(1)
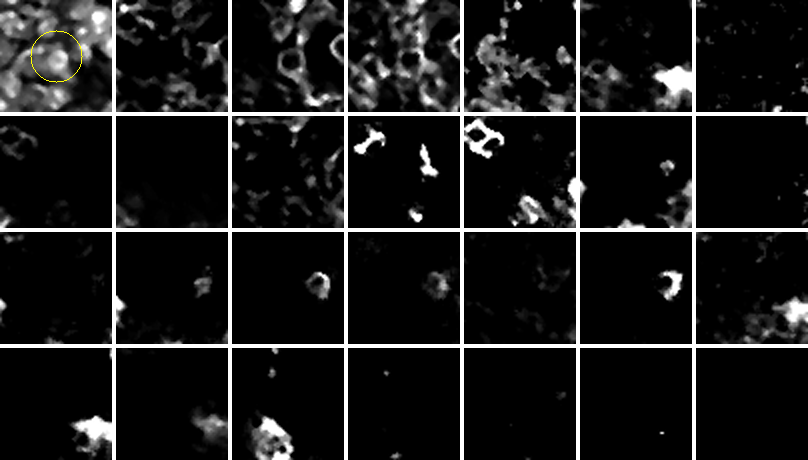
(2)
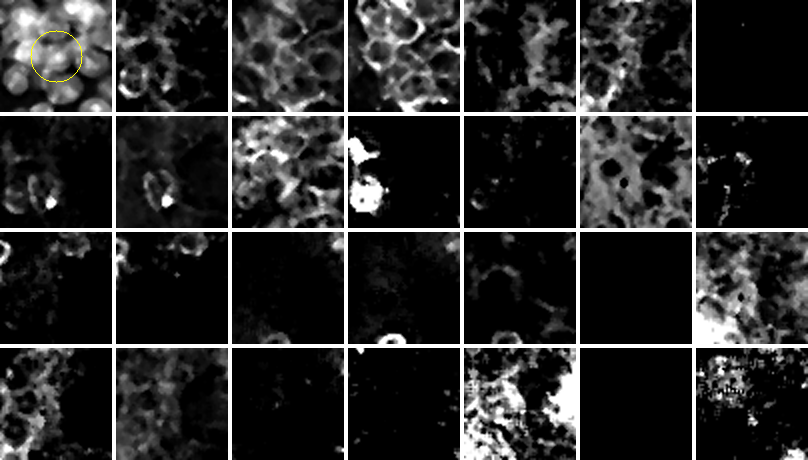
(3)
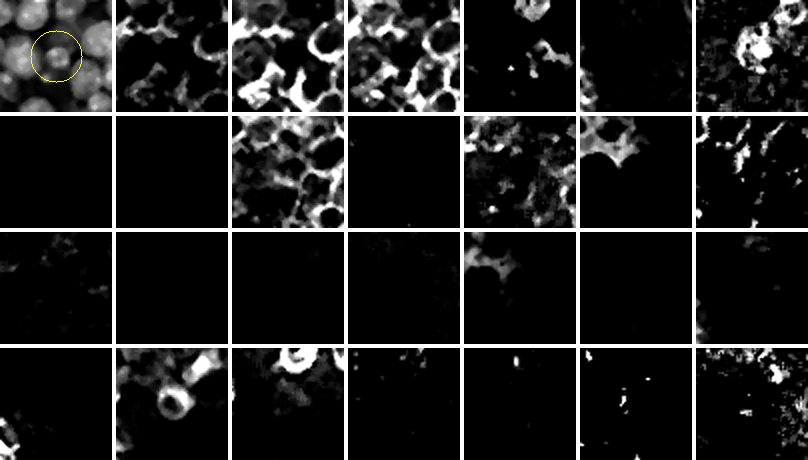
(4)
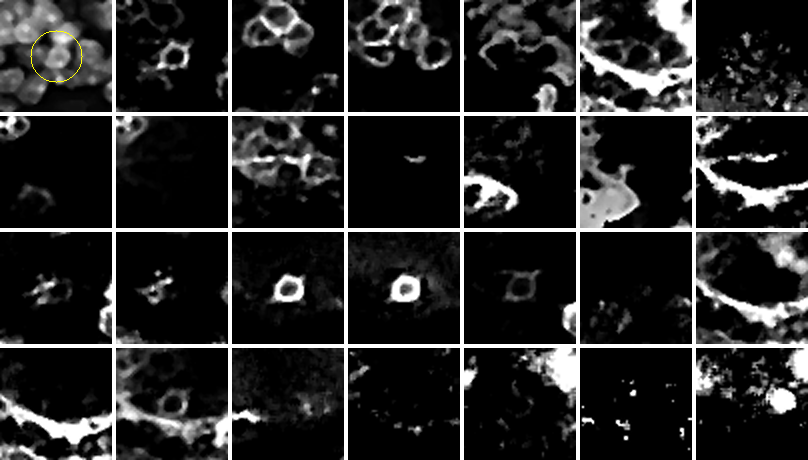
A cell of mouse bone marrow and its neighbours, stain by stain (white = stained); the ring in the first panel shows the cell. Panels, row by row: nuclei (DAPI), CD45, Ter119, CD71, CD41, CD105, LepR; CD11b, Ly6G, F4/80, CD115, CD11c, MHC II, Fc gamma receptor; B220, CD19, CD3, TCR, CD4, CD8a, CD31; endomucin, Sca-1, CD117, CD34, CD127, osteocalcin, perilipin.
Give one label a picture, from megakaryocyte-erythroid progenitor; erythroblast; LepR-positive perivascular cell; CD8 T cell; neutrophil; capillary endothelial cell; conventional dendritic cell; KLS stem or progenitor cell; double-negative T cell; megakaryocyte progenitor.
1. erythroblast
2. capillary endothelial cell
3. LepR-positive perivascular cell
4. double-negative T cell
